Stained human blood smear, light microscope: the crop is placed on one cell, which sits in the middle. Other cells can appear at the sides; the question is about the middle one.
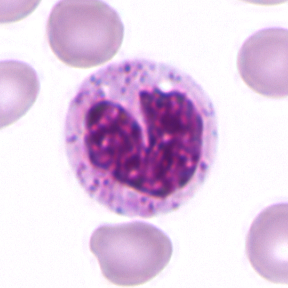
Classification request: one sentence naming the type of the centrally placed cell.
The centrally positioned cell in the crop represents a band neutrophil.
